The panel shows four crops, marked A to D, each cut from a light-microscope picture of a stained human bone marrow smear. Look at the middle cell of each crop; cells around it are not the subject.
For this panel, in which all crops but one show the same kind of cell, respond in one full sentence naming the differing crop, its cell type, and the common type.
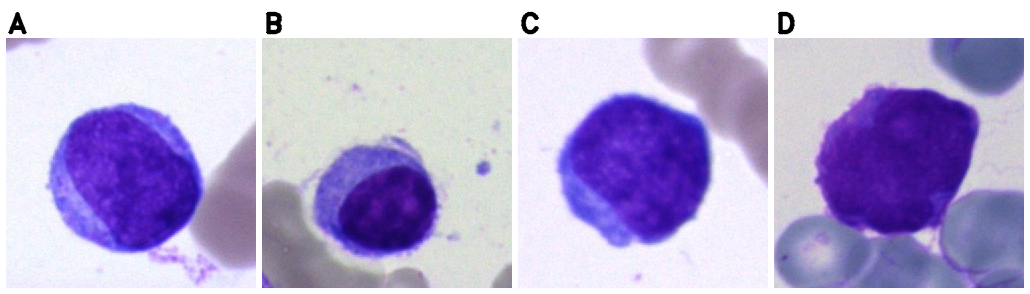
As the exception to the blasts in the other crops, crop B shows a lymphocyte.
